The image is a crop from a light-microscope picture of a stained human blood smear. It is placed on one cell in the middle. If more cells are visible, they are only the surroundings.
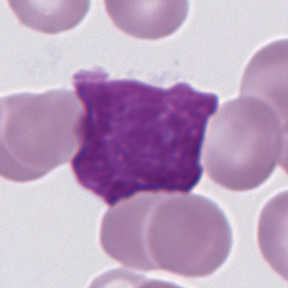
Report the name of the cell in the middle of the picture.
smudge cell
